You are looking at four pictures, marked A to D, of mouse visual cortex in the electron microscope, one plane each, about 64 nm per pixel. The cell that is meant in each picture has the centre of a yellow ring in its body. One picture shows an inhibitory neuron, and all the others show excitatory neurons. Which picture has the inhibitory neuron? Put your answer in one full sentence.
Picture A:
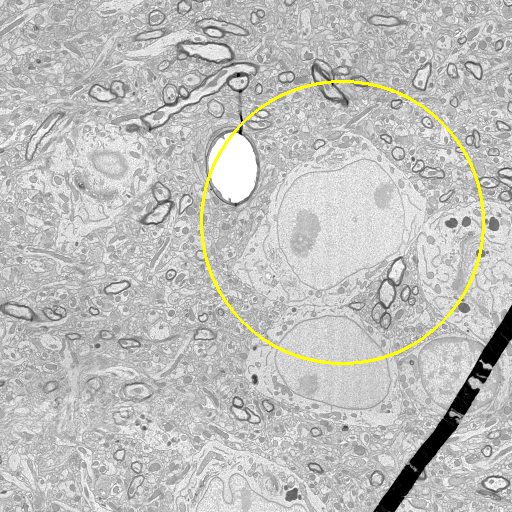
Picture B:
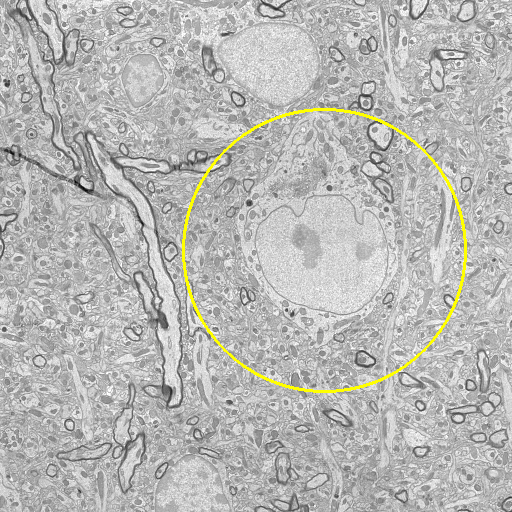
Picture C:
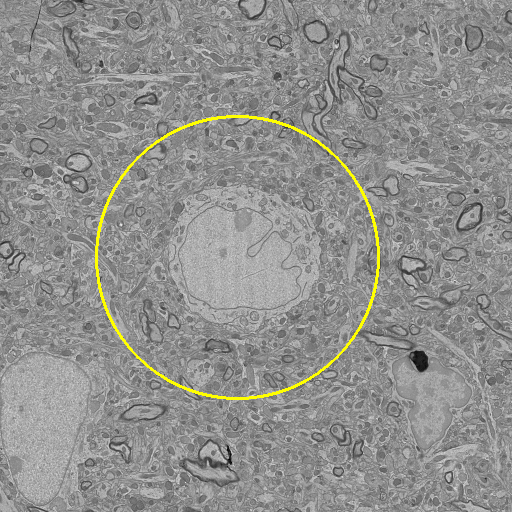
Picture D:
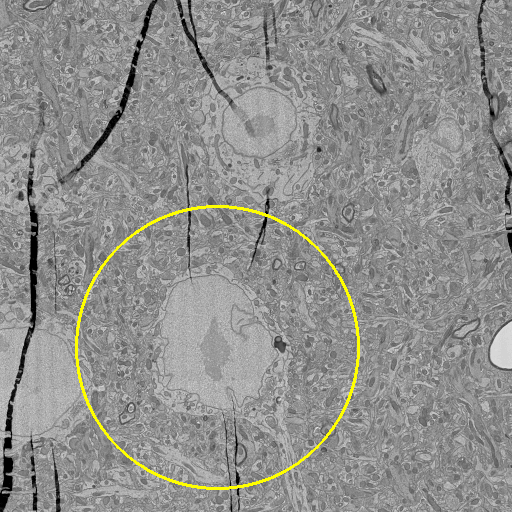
It is picture D that shows the inhibitory neuron.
